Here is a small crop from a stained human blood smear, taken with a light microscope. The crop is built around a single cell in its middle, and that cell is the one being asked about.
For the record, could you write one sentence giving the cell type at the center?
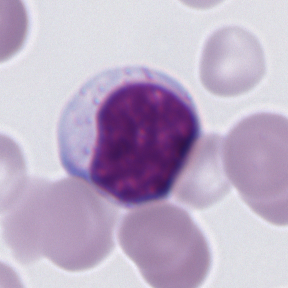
For this crop, the central cell is a large granular lymphocyte.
